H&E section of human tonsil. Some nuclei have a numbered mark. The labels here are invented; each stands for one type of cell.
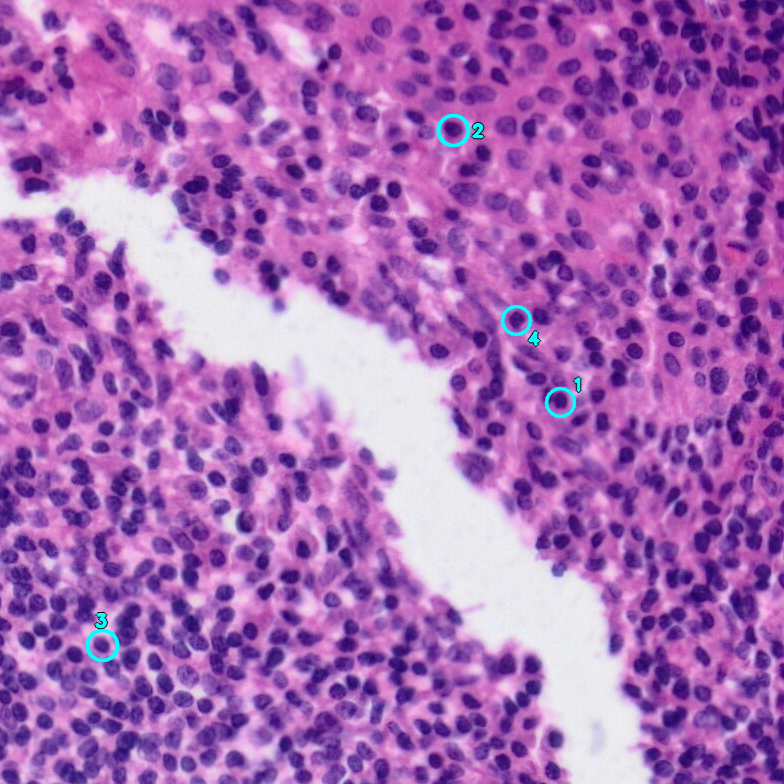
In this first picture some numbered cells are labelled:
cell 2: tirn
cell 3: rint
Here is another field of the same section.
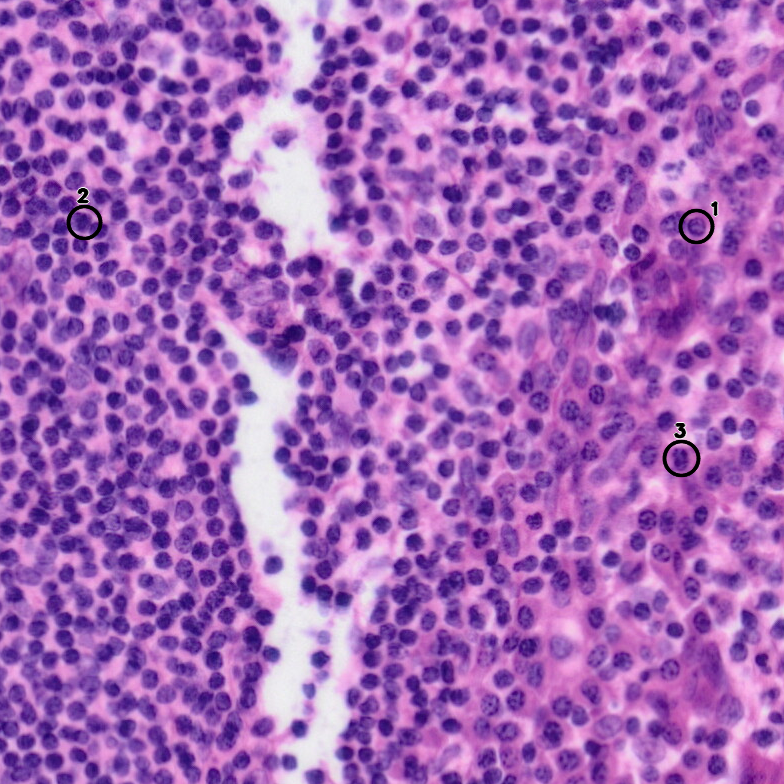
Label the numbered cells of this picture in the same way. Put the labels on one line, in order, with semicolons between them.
tirn; rint; tirn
